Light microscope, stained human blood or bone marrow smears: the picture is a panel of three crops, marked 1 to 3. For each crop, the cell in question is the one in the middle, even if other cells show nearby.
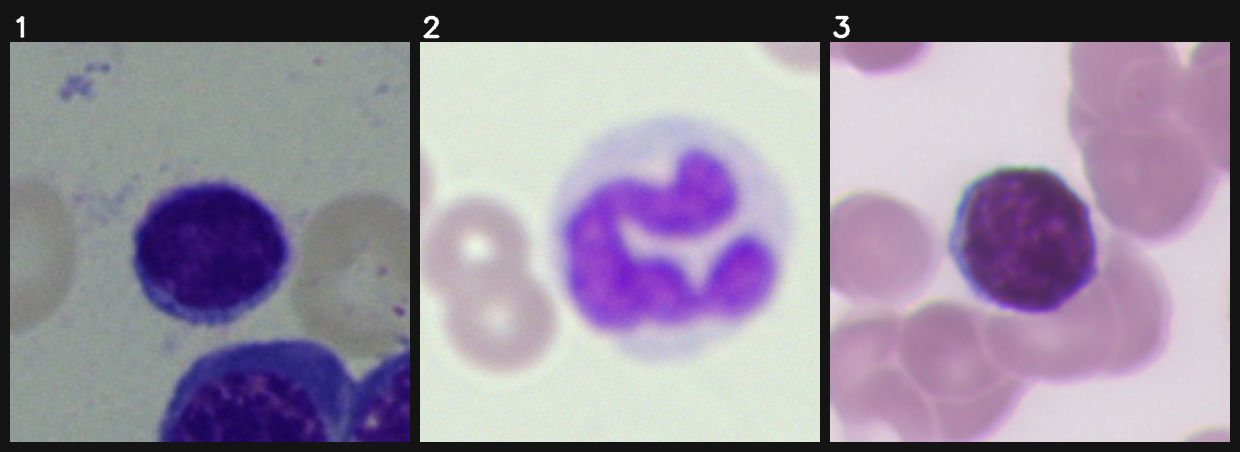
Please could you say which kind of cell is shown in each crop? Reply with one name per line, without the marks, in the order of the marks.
lymphocyte
monocyte
lymphocyte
